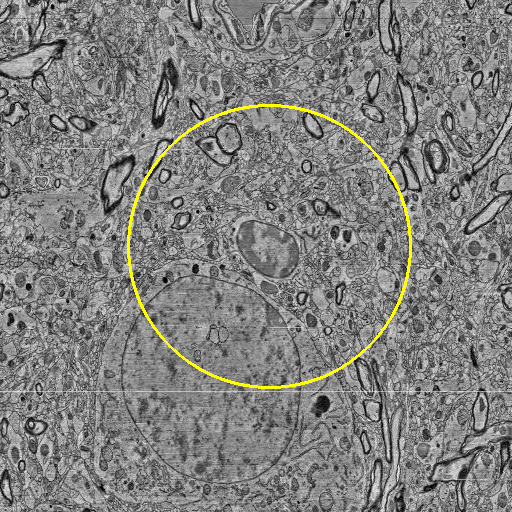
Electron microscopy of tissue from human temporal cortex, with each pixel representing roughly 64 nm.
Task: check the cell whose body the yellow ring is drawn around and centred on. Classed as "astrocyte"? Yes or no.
No, it belongs to another class.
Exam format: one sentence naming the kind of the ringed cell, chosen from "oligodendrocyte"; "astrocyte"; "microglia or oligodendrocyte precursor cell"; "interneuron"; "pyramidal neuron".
Instead, what sits at the centre of the ring is a microglial cell or oligodendrocyte precursor cell.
